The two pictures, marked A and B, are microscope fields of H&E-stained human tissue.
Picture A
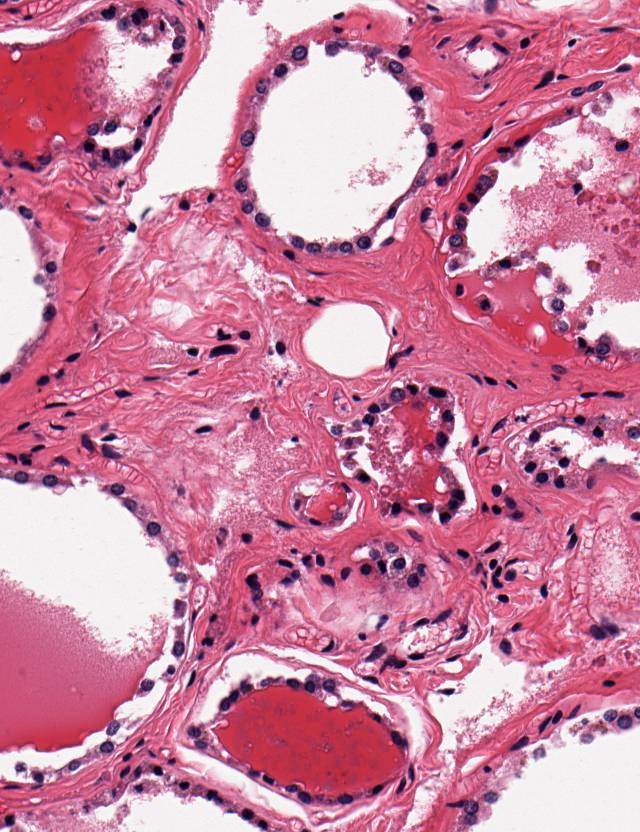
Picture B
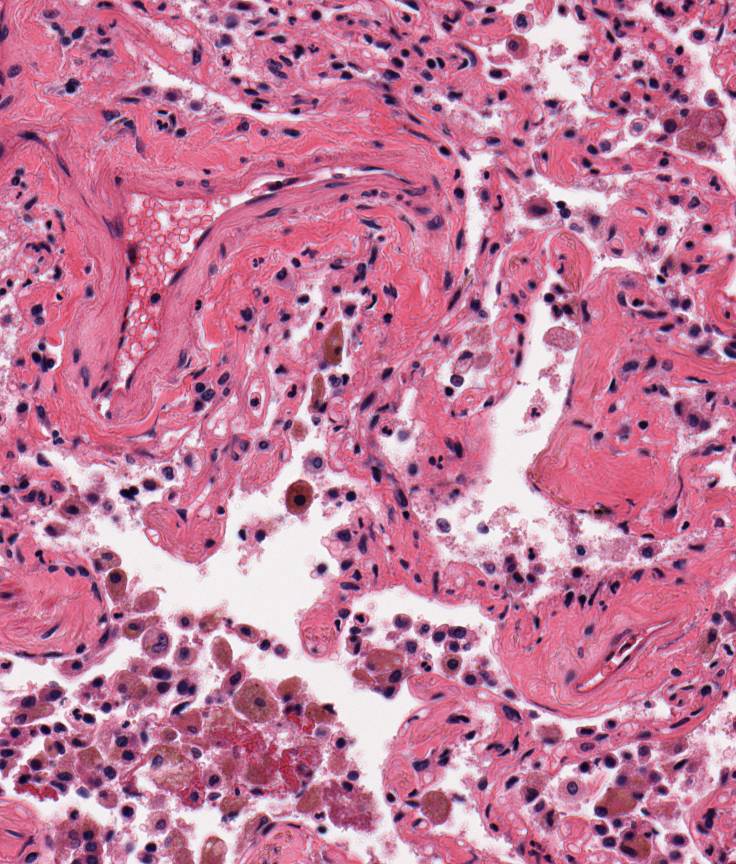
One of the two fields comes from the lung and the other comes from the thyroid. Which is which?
A: thyroid
B: lung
